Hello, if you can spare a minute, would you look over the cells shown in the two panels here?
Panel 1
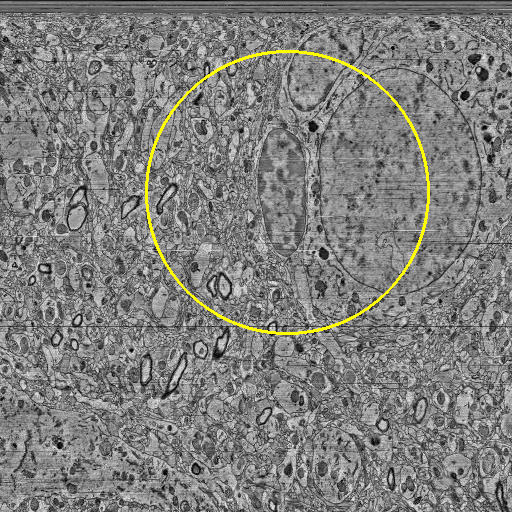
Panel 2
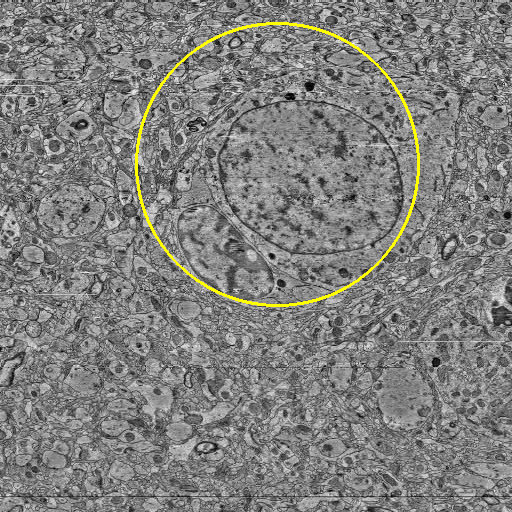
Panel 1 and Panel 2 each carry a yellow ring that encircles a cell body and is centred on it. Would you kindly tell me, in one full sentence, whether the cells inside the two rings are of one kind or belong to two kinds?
The cells at the centres of the rings in Panel 1 and Panel 2 belong to two kinds.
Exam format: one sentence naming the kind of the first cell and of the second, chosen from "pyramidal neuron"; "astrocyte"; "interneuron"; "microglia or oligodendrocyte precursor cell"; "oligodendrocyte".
The first picture's cell is a microglial cell or oligodendrocyte precursor cell, and the second picture's cell is a pyramidal neuron.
